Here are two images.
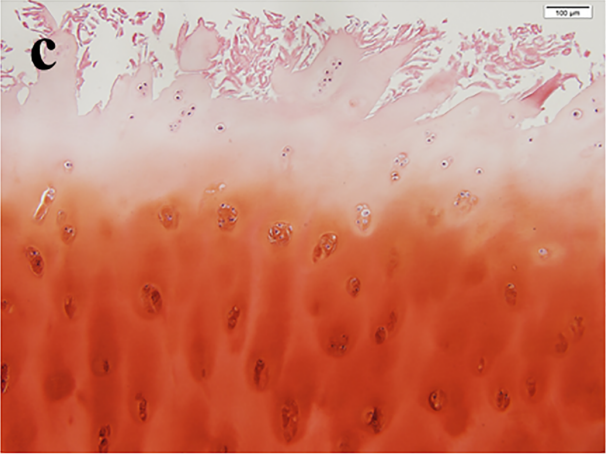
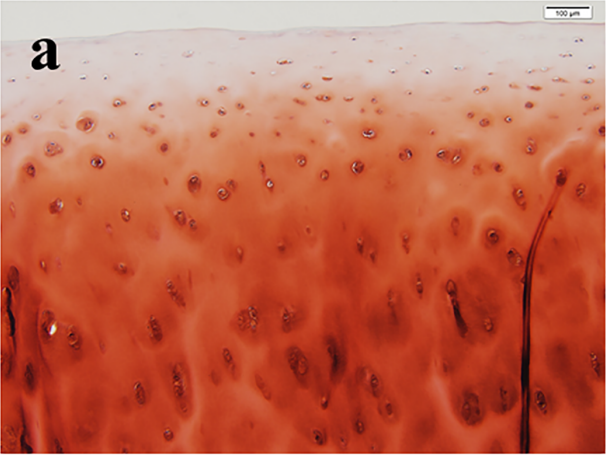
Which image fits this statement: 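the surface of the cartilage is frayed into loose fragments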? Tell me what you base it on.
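The first image. First image: the top edge is broken into loose, shredded pieces of matrix. Second image: the top edge is a smooth, continuous line.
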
